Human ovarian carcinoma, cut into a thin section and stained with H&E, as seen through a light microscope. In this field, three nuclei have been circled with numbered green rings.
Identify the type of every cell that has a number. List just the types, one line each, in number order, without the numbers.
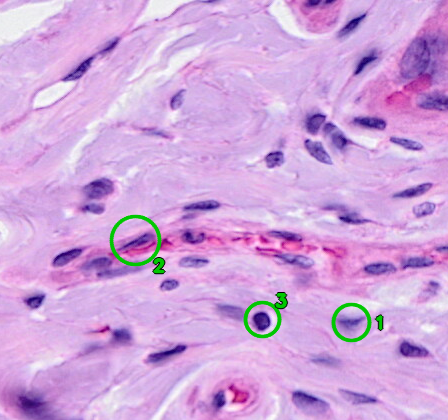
fibroblast
endothelial cell
lymphocyte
